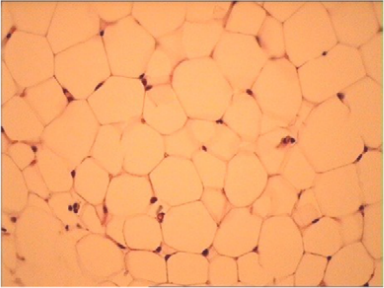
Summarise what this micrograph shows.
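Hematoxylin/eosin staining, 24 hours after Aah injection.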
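White adipose tissue composed of adipocytes packed in a net-like pattern, each cell a large clear space bounded by a thin pink rim. Small dark nuclei sit at the cell margins, mostly at junctions between neighbouring cells.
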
